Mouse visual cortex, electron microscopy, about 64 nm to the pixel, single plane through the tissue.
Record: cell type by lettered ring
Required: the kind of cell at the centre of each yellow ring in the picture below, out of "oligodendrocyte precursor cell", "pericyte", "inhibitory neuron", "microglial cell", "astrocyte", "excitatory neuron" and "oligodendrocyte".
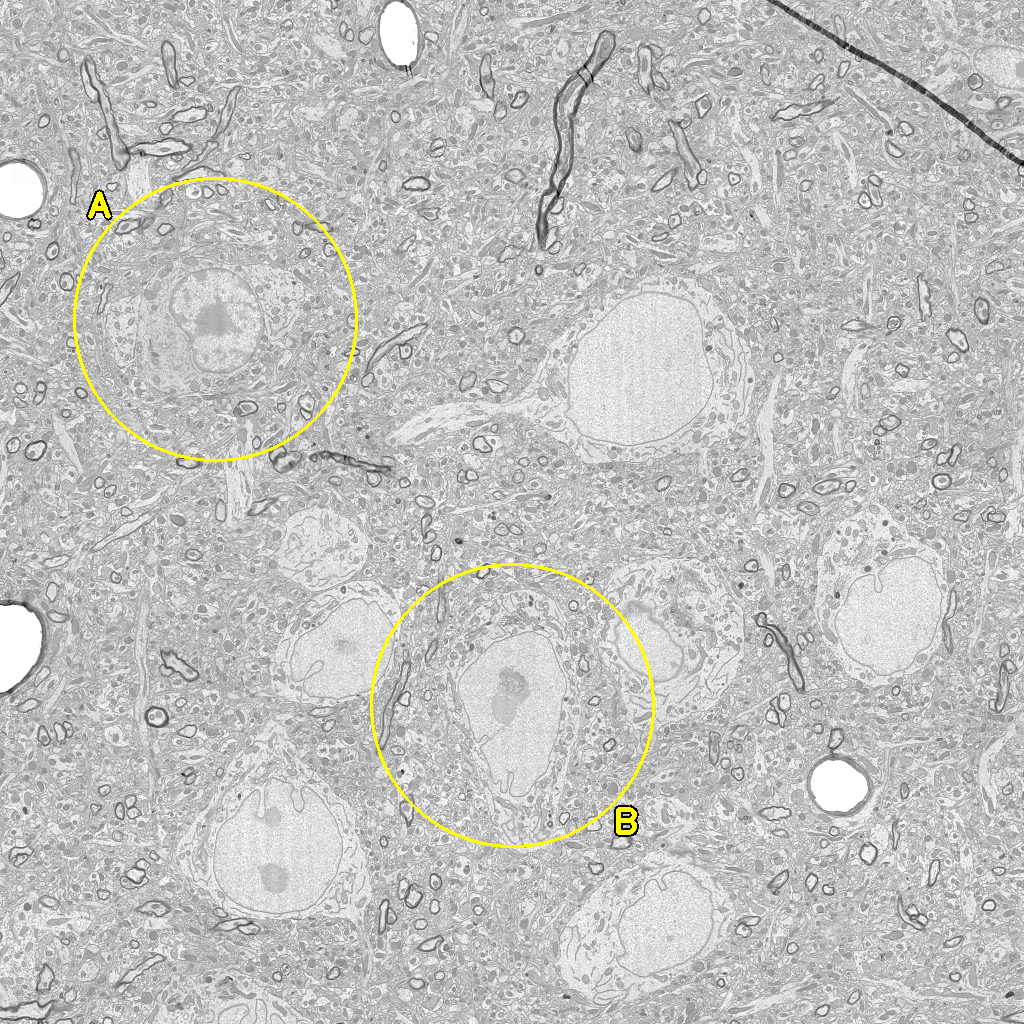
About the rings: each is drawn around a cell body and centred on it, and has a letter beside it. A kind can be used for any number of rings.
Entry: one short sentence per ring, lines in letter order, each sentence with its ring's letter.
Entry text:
At ring A we have an oligodendrocyte.
At ring B we have an inhibitory neuron.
